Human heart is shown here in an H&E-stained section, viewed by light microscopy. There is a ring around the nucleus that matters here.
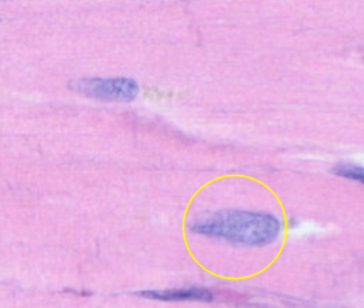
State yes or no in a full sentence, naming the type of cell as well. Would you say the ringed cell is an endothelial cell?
No, the ringed cell is a cardiomyocyte and should not be read as an endothelial cell.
